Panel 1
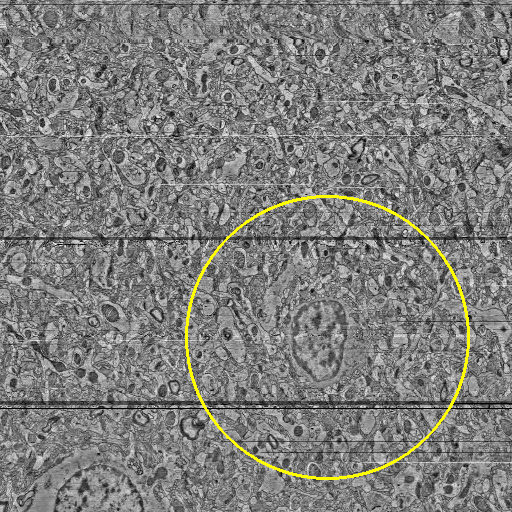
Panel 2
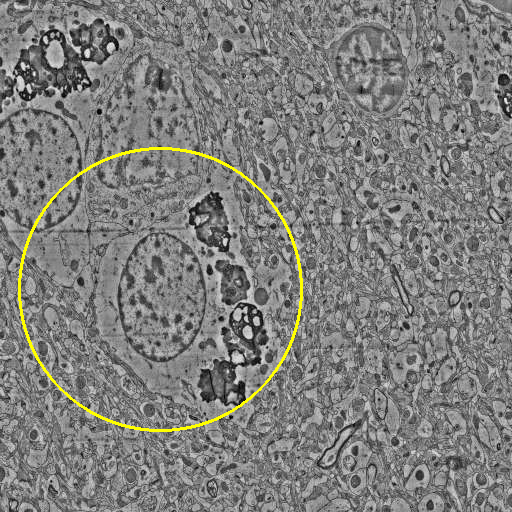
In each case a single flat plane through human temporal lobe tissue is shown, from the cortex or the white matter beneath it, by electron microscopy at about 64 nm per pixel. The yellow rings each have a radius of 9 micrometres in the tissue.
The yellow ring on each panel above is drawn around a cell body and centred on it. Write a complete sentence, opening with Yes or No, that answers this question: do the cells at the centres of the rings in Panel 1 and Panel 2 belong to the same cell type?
No, the two cells belong to two cell types.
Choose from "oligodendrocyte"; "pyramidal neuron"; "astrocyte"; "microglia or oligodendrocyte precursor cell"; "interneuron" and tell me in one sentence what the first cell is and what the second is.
What the first ring is centred on is an oligodendrocyte; what the second ring is centred on is an astrocyte.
